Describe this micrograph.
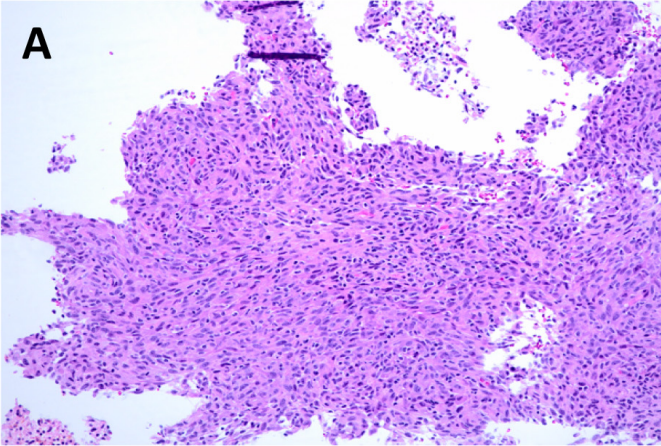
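At low power this tumour tissue is a solid, cellular sheet of spindle cells arranged in sweeping fascicles. The fragment has ragged edges, and the cells crowd together with purple nuclei set in pink cytoplasm and little stroma between them.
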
